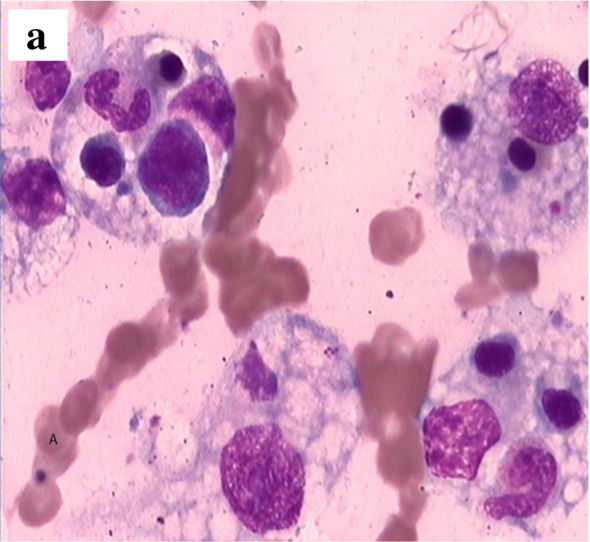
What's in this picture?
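This bone marrow smear shows large hemophagocytic histiocytes, macrophages that have swallowed other marrow cells. Their cytoplasm is abundant, pale blue and foamy, full of small clear vacuoles. Inside them lie whole engulfed cells: a cell with a lobed nucleus and several small cells with round, dense, dark nuclei. Streaks and clumps of red cells run across the field between the histiocytes.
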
